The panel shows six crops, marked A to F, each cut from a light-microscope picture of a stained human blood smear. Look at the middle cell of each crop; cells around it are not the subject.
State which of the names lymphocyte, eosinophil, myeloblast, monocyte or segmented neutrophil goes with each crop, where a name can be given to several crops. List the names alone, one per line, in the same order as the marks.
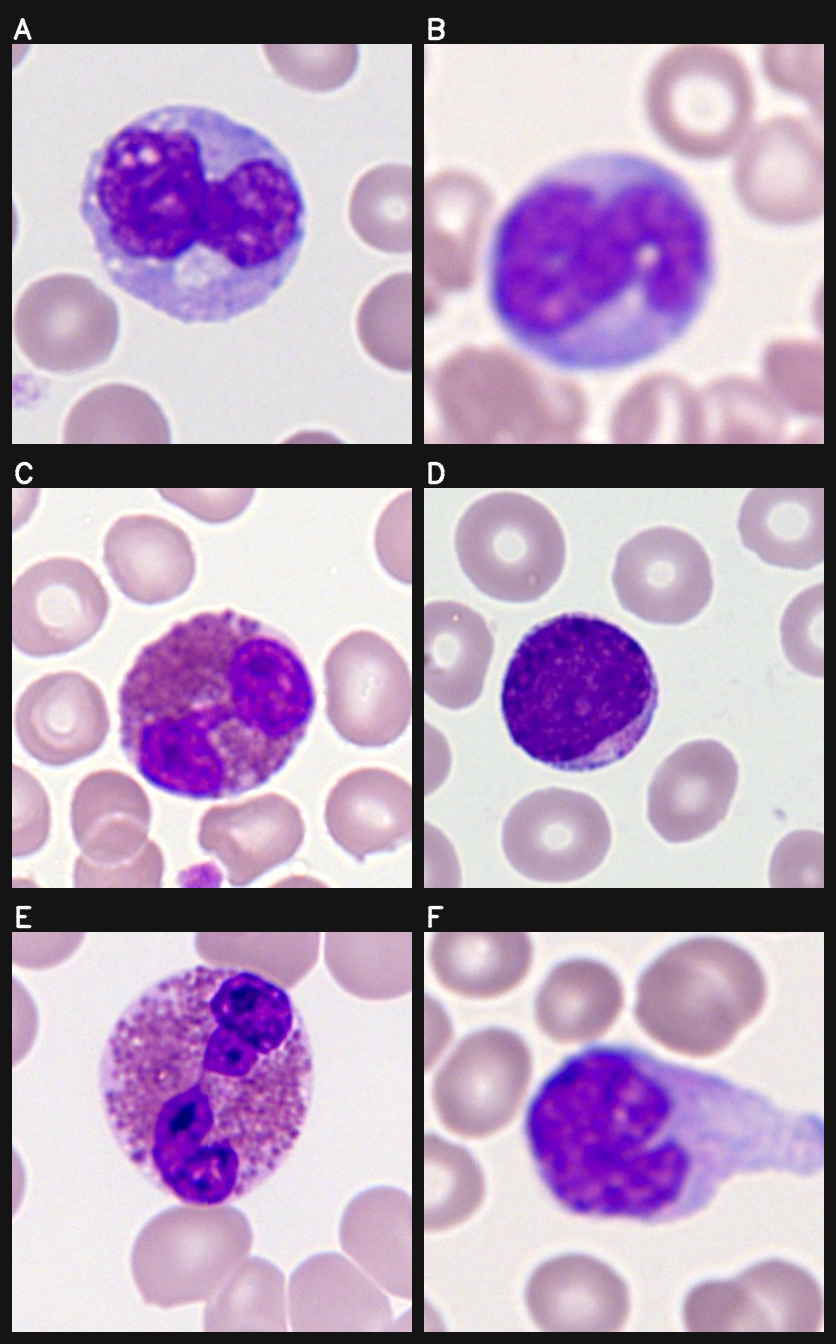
monocyte
monocyte
eosinophil
myeloblast
eosinophil
monocyte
